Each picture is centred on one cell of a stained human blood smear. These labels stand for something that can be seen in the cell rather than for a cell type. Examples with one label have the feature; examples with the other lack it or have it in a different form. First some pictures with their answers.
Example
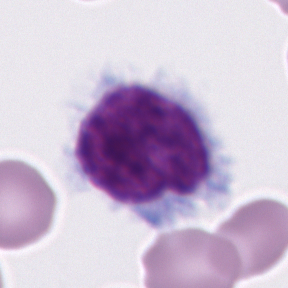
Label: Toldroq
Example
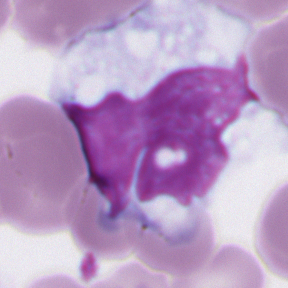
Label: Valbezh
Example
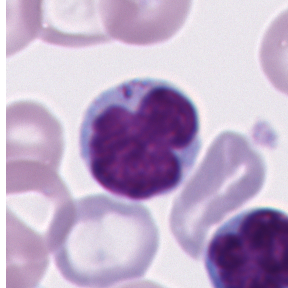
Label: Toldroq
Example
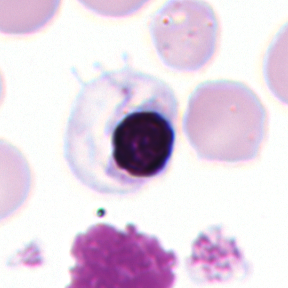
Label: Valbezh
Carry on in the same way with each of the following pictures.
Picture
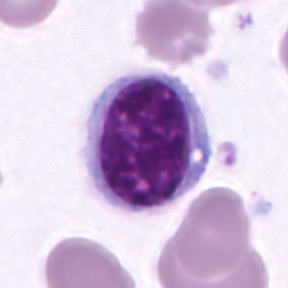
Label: Toldroq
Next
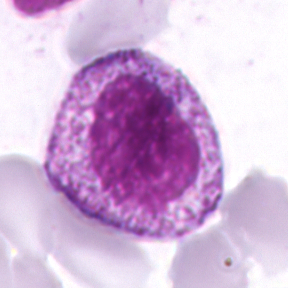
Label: Valbezh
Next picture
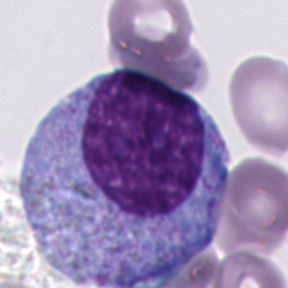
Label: Valbezh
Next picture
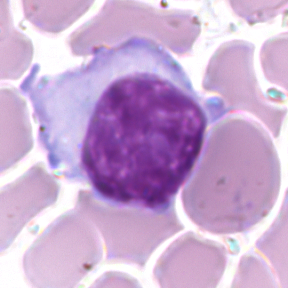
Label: Valbezh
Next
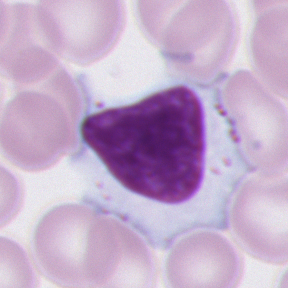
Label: Valbezh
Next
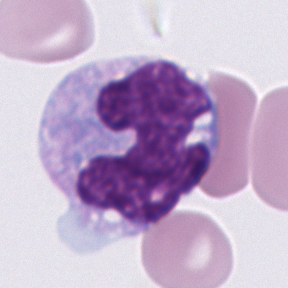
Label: Valbezh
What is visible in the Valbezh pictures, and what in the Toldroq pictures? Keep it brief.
Valbezh: abundant cytoplasm; Toldroq: scant cytoplasm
